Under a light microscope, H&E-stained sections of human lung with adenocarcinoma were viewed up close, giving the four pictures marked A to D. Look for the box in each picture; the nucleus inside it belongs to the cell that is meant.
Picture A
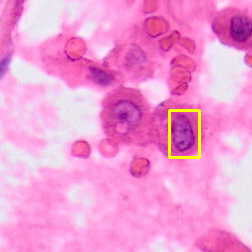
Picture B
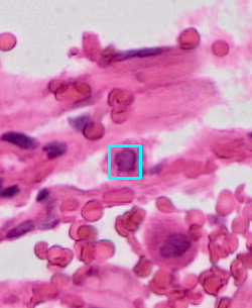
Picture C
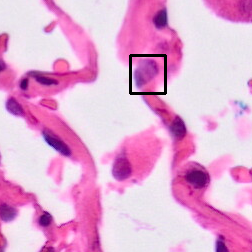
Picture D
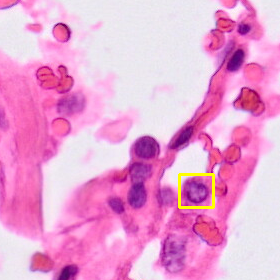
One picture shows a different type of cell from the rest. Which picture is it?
C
